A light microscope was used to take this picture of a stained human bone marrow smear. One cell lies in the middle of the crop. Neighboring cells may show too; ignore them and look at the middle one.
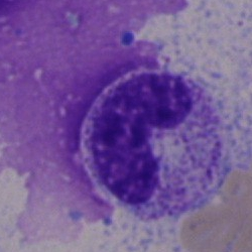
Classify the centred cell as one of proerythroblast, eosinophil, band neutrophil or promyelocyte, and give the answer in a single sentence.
The cell positioned in the middle of the field is a band neutrophil.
